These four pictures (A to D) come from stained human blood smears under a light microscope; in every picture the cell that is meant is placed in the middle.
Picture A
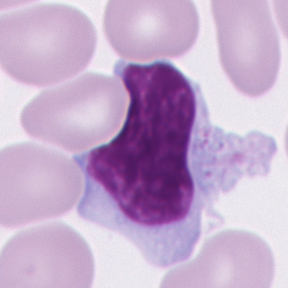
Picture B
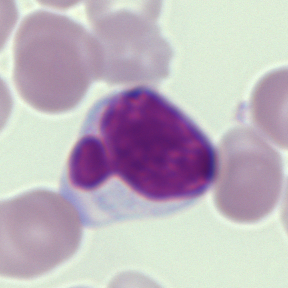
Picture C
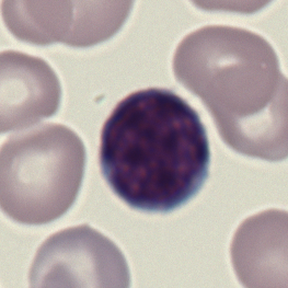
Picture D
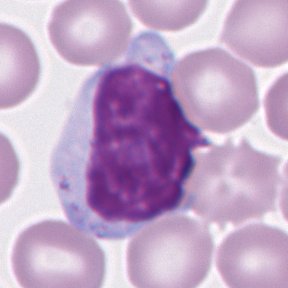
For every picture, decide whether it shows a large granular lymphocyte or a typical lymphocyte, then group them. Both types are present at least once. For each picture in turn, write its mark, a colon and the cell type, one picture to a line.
A: large granular lymphocyte
B: large granular lymphocyte
C: typical lymphocyte
D: large granular lymphocyte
